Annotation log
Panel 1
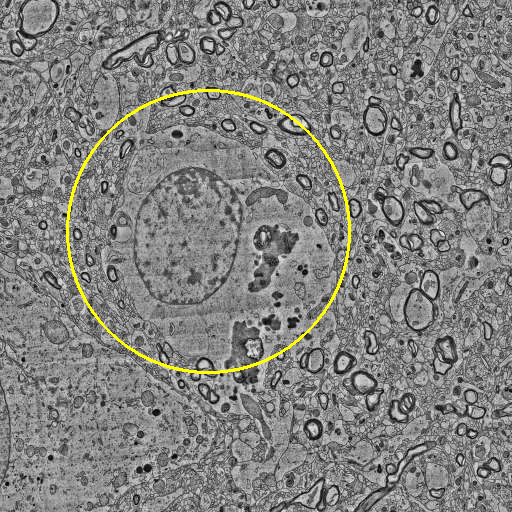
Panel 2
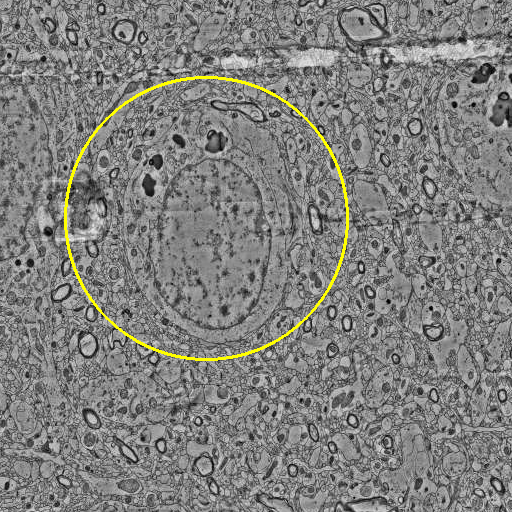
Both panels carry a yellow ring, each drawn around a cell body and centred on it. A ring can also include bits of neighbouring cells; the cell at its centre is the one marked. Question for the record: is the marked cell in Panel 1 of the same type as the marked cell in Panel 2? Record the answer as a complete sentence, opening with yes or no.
No, the marked cells in Panel 1 and Panel 2 are of two types.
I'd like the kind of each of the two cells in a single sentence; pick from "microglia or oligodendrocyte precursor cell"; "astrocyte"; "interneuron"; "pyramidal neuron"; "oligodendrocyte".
The first ring marks an astrocyte, and the second ring marks an interneuron.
